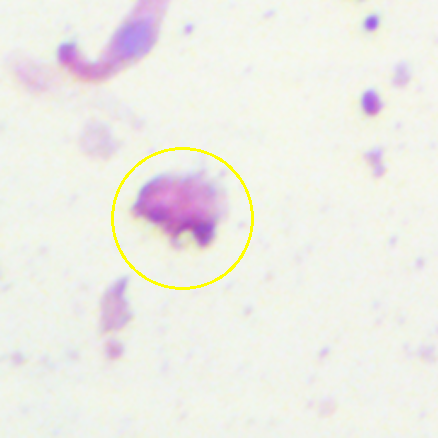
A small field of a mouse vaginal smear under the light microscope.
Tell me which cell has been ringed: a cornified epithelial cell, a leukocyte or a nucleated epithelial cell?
It is a cornified epithelial cell.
